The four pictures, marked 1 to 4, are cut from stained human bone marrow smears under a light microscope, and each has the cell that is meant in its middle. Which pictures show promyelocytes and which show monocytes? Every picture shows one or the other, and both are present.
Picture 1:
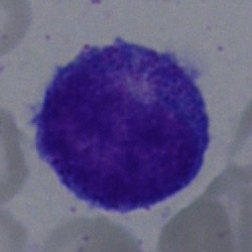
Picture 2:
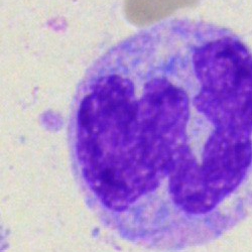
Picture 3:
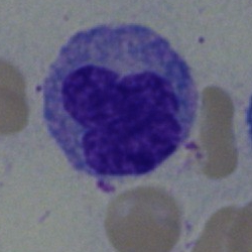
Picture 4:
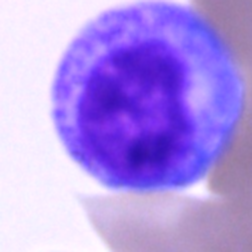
1: promyelocyte
2: monocyte
3: monocyte
4: promyelocyte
